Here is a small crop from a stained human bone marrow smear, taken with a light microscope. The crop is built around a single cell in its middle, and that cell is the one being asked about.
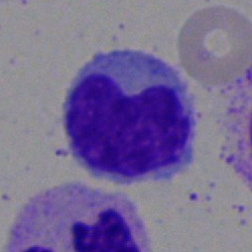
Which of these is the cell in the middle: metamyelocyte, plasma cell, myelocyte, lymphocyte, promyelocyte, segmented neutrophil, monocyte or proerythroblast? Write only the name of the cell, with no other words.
metamyelocyte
